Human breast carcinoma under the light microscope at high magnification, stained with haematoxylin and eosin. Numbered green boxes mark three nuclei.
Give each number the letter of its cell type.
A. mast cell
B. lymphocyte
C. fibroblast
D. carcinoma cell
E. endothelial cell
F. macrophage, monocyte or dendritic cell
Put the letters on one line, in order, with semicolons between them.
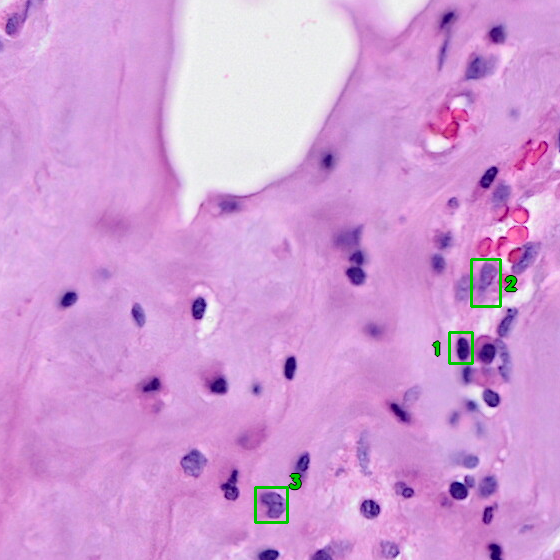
B; E; F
